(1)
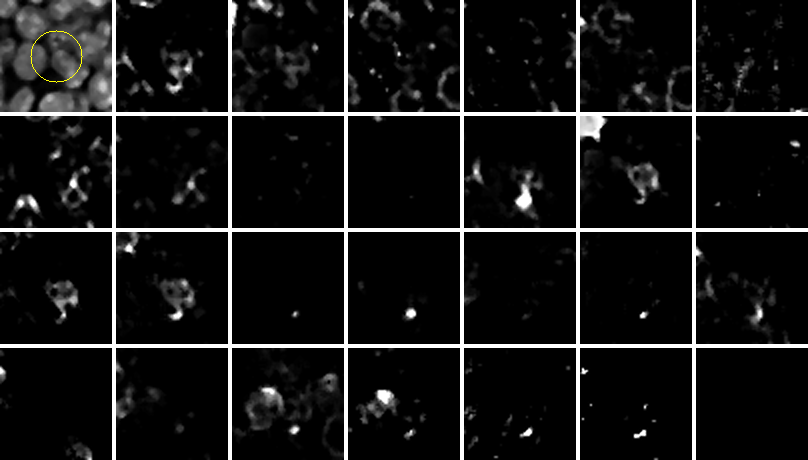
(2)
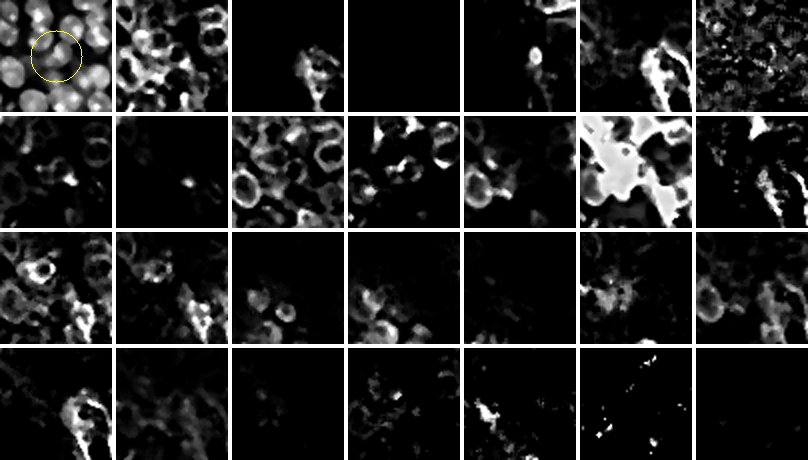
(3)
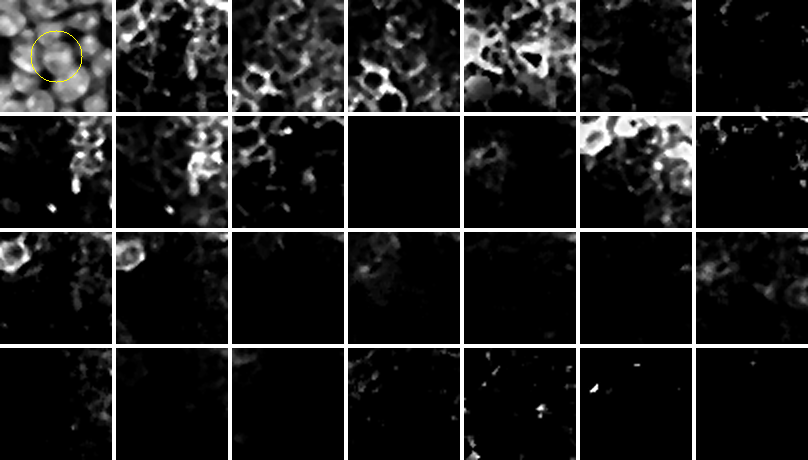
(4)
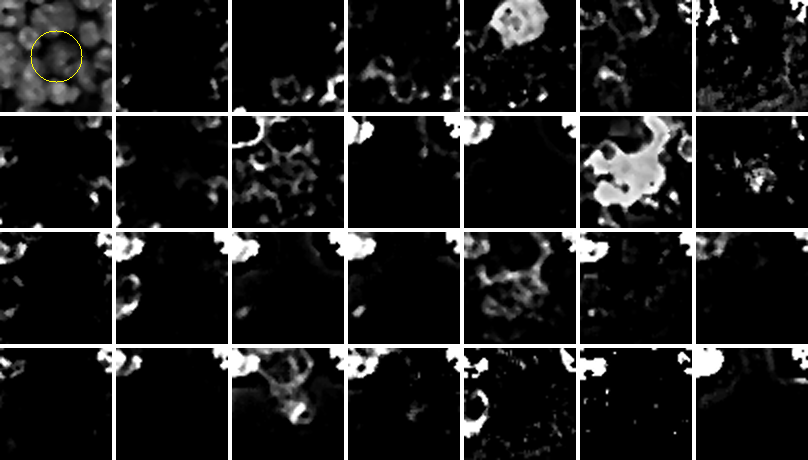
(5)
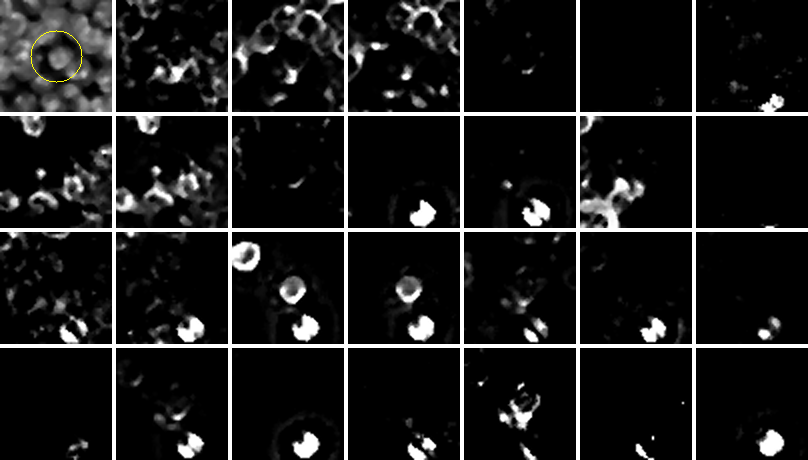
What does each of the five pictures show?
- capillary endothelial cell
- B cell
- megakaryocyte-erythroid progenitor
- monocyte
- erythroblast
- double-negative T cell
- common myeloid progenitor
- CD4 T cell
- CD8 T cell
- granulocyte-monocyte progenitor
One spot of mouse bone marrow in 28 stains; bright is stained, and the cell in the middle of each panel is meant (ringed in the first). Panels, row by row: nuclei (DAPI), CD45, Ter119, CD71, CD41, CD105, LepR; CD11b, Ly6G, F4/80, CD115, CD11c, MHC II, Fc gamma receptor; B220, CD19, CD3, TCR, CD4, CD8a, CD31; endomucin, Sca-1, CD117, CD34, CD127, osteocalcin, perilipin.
1: B cell
2: monocyte
3: erythroblast
4: granulocyte-monocyte progenitor
5: double-negative T cell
